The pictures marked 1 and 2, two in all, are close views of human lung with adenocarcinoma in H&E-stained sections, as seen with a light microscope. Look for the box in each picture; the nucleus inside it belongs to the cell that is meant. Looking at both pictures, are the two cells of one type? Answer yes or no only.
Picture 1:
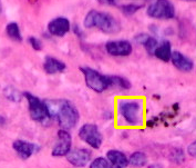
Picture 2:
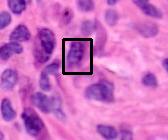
no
